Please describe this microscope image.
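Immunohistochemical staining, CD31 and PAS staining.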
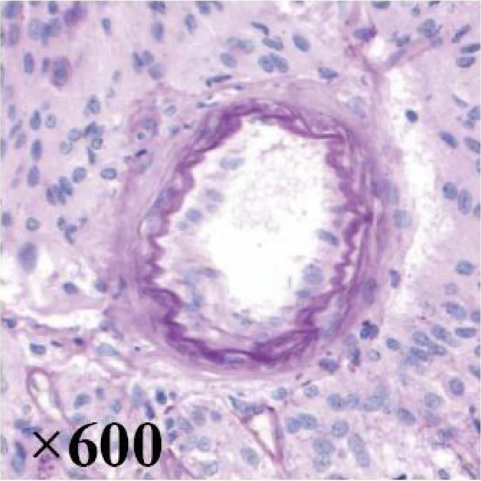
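A single round channel sits among sheets of polygonal cells with pale pink cytoplasm and oval blue nuclei. The channel wall is a thick, wavy, layered band of magenta-purple stained material with no flat brown-stained cell lining. The lumen contains pale, flocculent pinkish material. Small slit-like spaces and thin pink strands run between the surrounding cells.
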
